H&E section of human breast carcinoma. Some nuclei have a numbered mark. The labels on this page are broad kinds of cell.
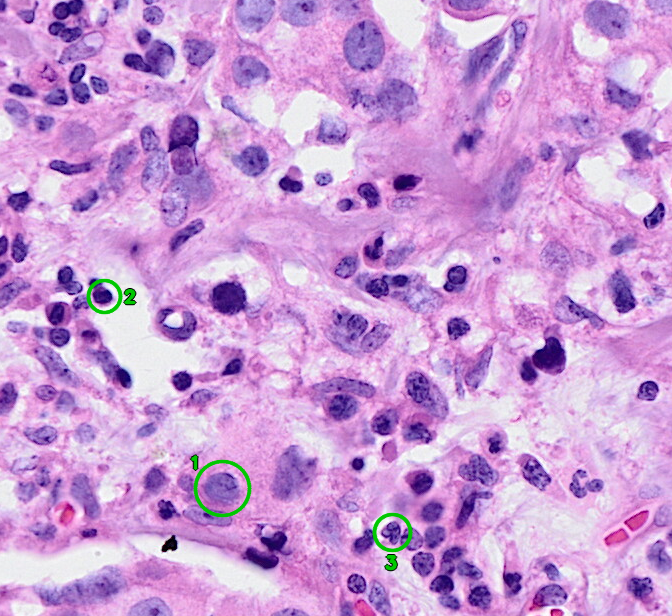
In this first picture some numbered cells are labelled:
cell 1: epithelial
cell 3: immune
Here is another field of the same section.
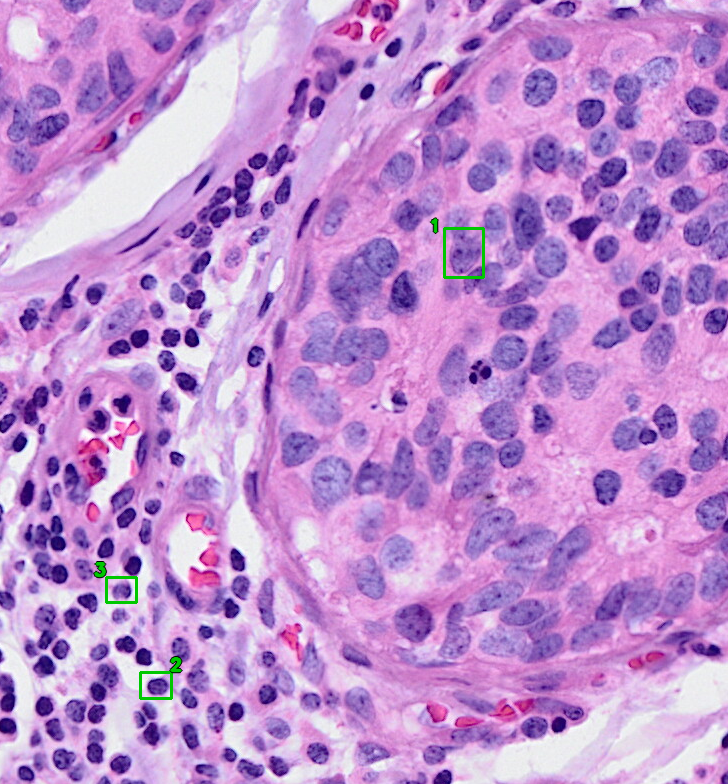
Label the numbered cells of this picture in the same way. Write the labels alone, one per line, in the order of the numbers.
epithelial
immune
immune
